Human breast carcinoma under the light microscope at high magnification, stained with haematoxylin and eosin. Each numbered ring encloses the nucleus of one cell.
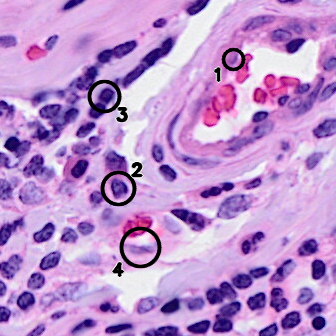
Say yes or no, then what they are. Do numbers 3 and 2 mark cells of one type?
Yes, the cell marked 3 and the cell marked 2 are both lymphocytes.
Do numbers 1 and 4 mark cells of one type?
Yes, cells 1 and 4 are both to be classed as endothelial cells.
